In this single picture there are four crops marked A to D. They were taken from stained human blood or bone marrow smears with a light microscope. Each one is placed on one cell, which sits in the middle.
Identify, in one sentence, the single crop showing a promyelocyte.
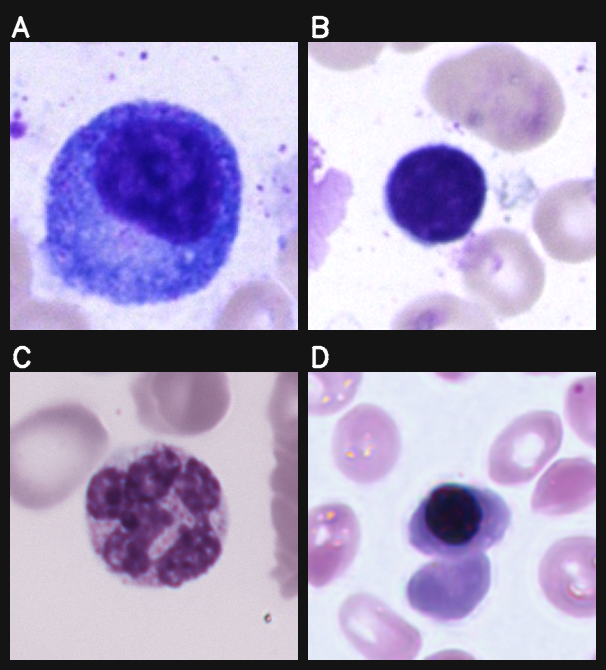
Among the crops, only crop A contains a promyelocyte.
